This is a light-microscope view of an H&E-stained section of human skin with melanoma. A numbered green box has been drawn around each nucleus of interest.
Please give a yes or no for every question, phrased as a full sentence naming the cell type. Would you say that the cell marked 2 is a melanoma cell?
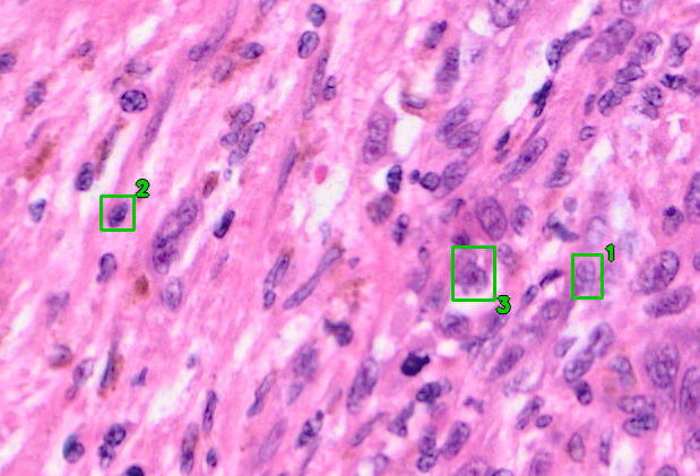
No, the cell at number 2 is a lymphocyte instead of a melanoma cell.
